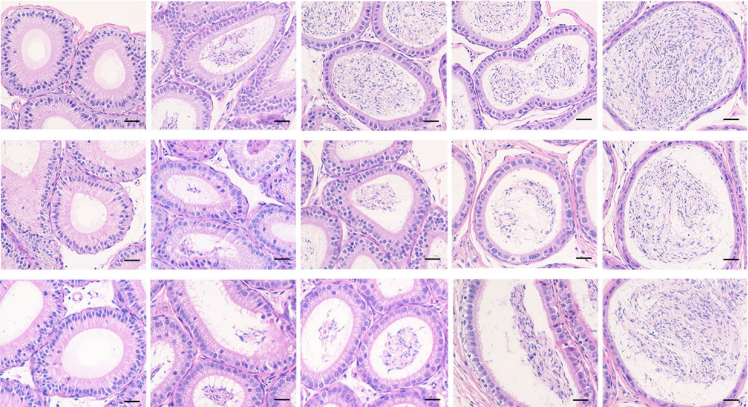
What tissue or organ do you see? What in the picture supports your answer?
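Epididymis. Round and oval tubule sections lined by a tall columnar epithelium. Lumens of several tubules are filled with masses of thin basophilic threads. Thin connective tissue separates the tubule sections.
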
